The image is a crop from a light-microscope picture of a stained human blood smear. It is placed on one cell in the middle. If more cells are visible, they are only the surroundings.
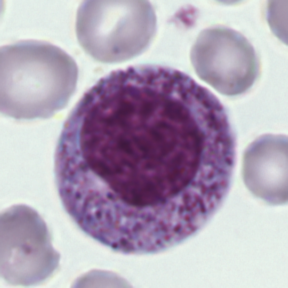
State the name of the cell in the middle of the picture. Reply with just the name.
promyelocyte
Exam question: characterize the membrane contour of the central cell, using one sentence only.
The outline traces a smooth curve with no projections along it.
